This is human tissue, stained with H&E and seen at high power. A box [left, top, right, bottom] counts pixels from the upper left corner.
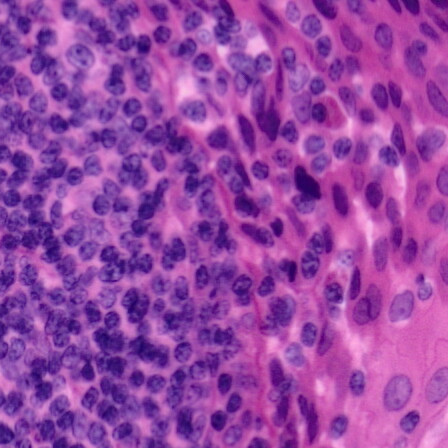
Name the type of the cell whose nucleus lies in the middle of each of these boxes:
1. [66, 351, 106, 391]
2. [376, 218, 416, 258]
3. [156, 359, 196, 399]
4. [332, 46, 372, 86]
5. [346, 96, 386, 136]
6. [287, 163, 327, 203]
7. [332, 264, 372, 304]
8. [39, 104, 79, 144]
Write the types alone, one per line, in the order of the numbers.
small lymphocyte
squamous epithelial cell
small lymphocyte
squamous epithelial cell
squamous epithelial cell
squamous epithelial cell
squamous epithelial cell
small lymphocyte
